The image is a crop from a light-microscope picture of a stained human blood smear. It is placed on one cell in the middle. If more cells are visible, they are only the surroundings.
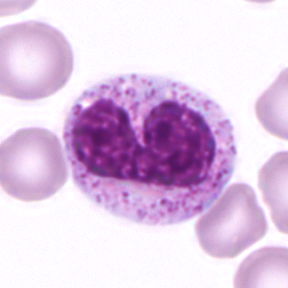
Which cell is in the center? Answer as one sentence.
This crop is built around a band neutrophil at its centre.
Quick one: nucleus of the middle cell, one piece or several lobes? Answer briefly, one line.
Two or more lobes make up the nucleus of this cell.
